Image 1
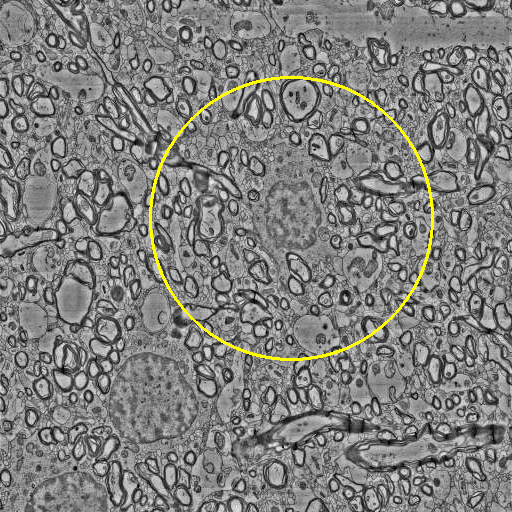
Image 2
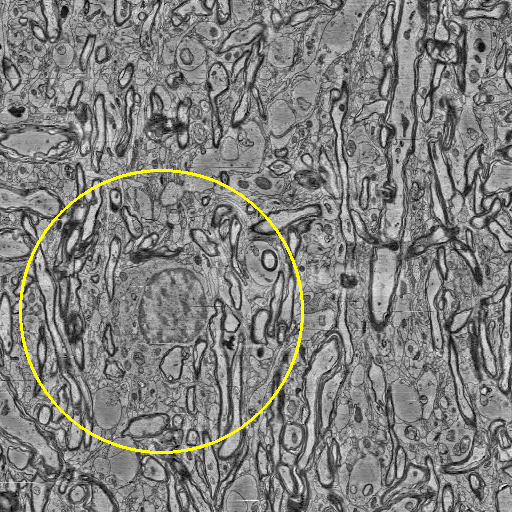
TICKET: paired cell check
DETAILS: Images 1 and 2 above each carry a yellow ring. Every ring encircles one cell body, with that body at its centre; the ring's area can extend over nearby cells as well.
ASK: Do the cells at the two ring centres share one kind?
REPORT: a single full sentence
Yes, the ring-centre cells of Images 1 and 2 belong to a single kind.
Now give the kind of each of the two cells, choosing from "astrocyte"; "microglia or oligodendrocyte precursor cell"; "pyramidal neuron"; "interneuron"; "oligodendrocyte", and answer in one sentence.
Each of the two pictures has an oligodendrocyte at the ring centre.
